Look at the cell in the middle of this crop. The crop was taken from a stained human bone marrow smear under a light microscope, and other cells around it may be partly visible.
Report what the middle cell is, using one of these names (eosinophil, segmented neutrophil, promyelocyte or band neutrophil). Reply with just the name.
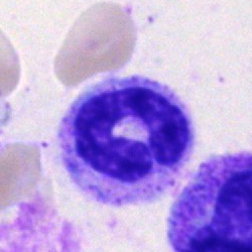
band neutrophil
